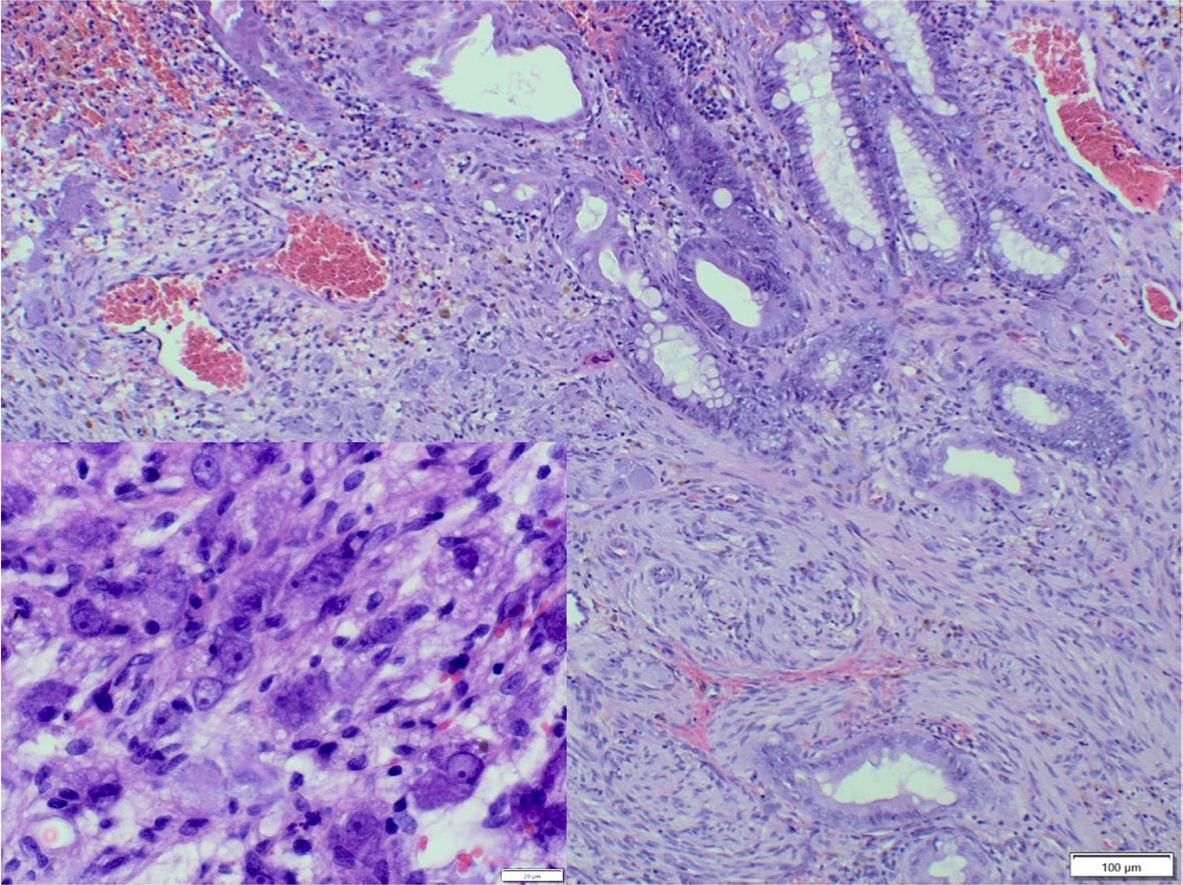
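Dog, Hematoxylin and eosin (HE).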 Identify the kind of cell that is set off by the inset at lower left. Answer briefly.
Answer: ganglion cells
